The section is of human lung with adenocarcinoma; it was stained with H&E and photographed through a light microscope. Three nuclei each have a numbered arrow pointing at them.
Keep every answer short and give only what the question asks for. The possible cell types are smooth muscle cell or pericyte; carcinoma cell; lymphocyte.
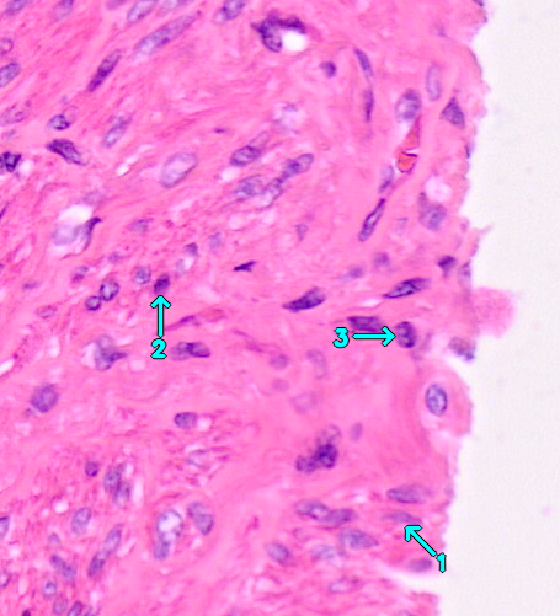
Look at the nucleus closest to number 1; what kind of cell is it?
smooth muscle cell or pericyte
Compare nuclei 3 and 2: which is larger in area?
3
